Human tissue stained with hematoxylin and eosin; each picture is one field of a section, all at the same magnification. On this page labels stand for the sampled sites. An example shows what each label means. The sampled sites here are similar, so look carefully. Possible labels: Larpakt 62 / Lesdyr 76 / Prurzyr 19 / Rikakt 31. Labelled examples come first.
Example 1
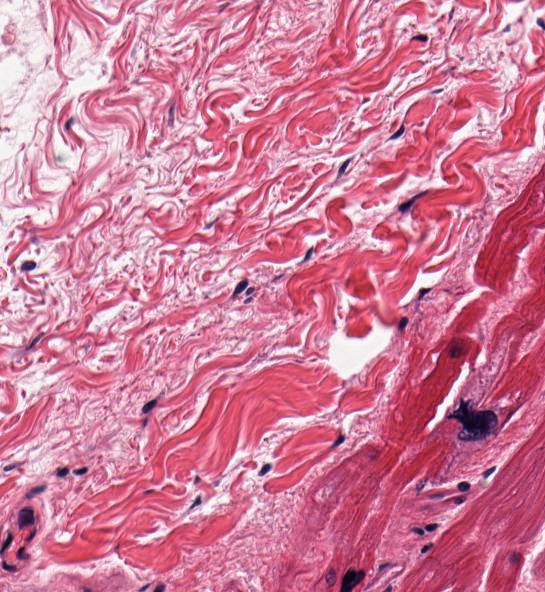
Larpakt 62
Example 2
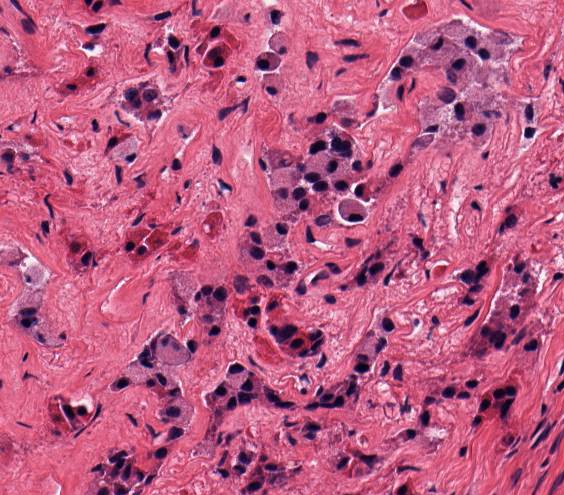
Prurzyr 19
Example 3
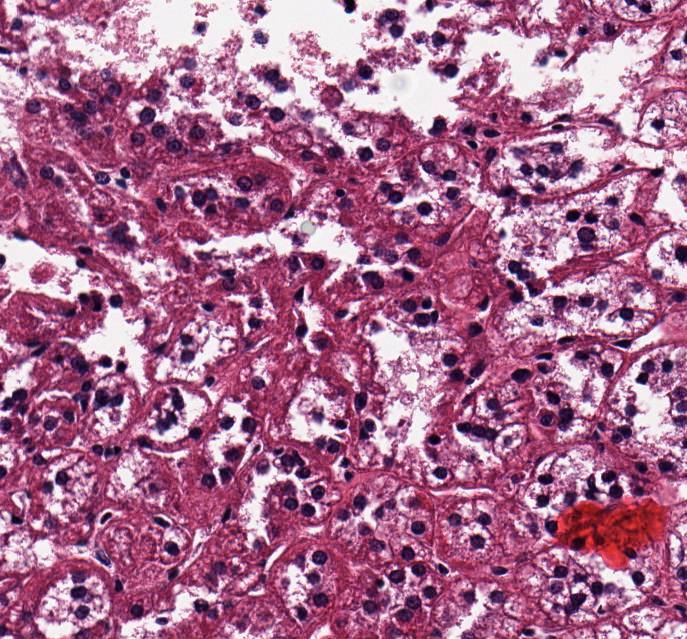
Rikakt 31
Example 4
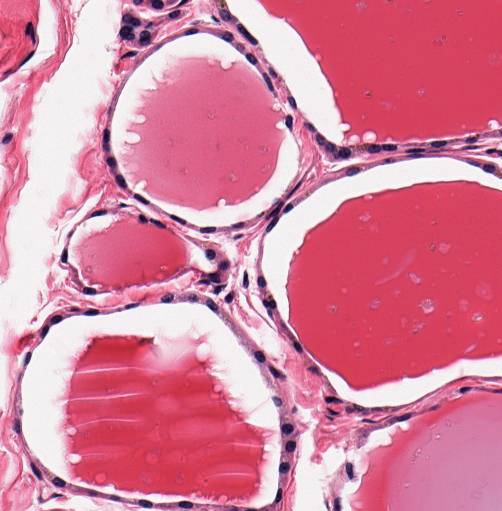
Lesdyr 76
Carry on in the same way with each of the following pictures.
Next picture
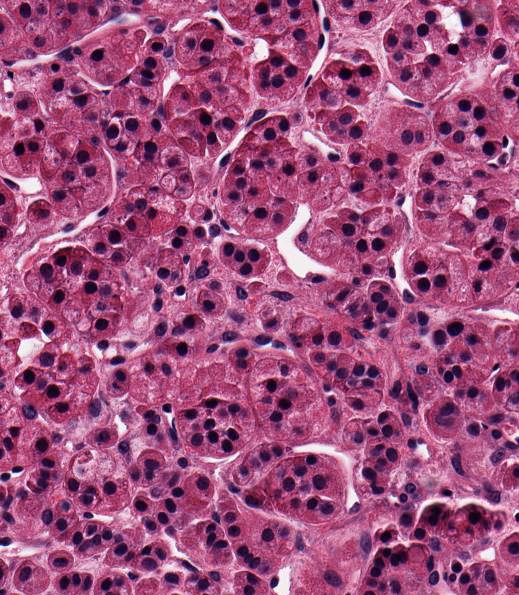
Rikakt 31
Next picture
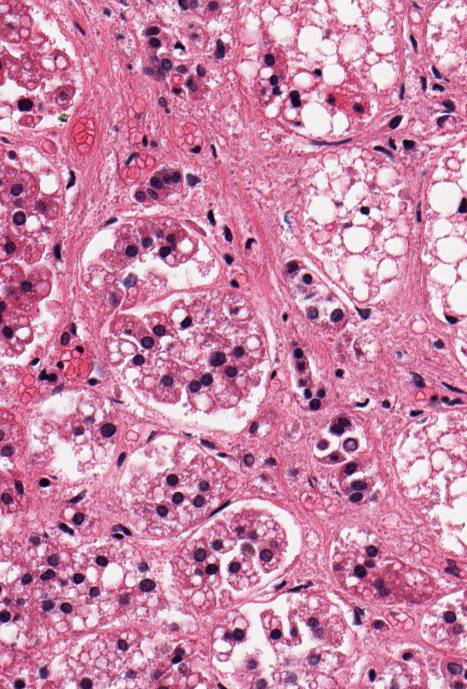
Rikakt 31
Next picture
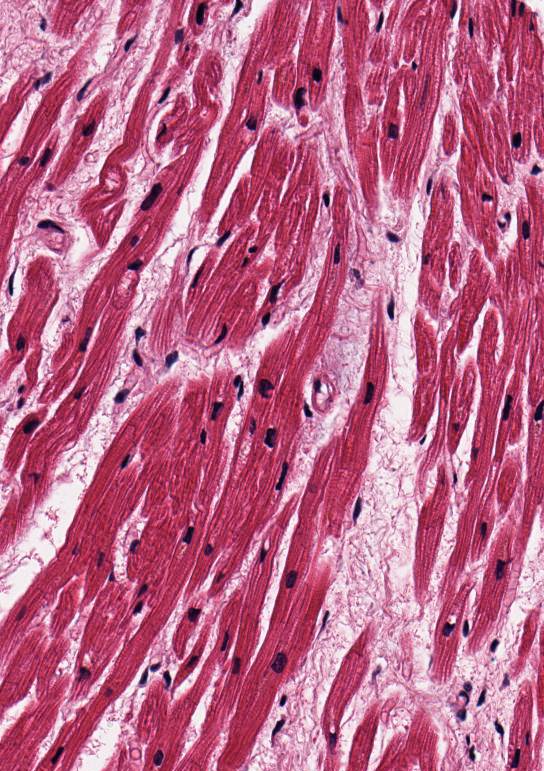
Larpakt 62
